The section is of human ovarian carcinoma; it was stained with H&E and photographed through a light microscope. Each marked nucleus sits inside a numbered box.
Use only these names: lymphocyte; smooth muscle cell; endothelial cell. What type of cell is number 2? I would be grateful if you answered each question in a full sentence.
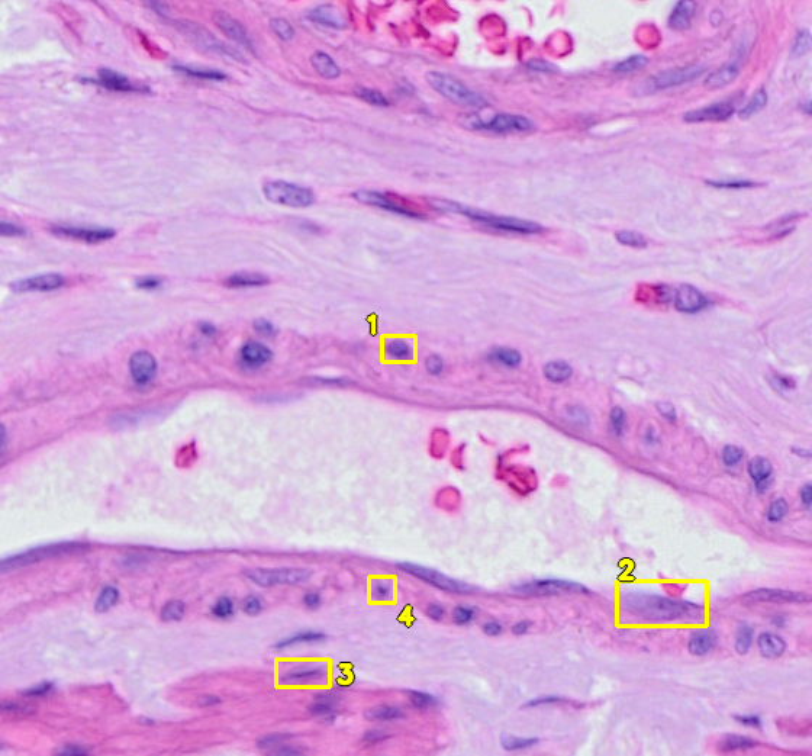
Recognised here as an endothelial cell is the cell numbered 2.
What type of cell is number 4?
Regarding cell 4, this one is a smooth muscle cell.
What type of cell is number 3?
Recognised here as a smooth muscle cell is the cell numbered 3.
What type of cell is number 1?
The expected answer is that cell 1 is a smooth muscle cell.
